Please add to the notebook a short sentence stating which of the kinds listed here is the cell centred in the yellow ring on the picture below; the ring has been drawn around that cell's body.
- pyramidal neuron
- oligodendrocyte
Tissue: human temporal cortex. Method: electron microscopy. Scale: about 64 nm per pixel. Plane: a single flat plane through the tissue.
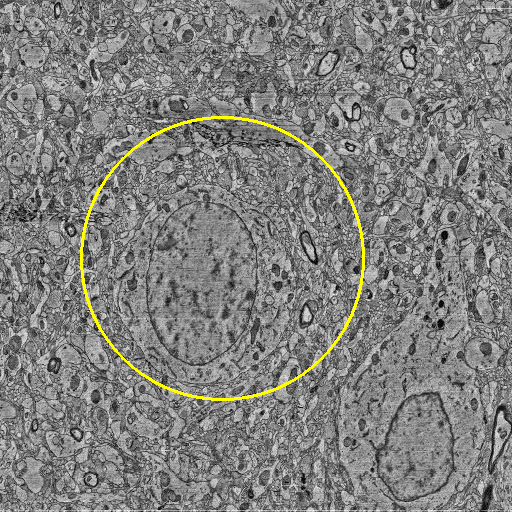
The cell centred in the yellow ring is a pyramidal neuron.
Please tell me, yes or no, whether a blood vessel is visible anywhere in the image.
No, there is no blood vessel.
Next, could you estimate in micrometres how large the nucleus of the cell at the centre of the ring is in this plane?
Approximately 11 by 7 micrometers, which makes the nucleus clearly longer than it is wide in this plane.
